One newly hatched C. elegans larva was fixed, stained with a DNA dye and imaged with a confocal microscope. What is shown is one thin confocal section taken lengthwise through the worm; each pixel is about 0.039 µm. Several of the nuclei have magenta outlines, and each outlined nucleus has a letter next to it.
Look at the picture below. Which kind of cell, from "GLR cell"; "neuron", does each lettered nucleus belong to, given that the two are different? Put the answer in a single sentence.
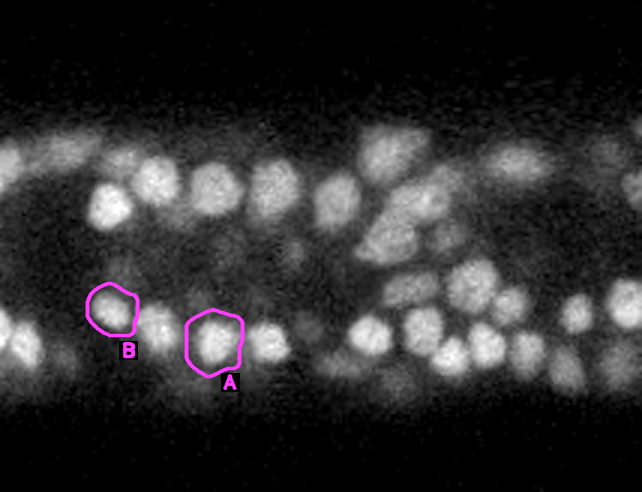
A is in a neuron and B is in a GLR cell.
